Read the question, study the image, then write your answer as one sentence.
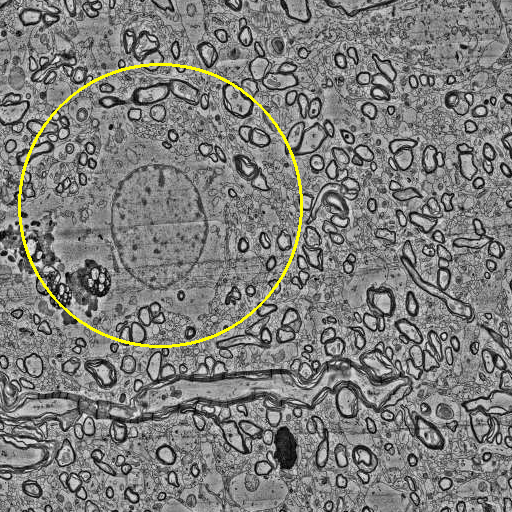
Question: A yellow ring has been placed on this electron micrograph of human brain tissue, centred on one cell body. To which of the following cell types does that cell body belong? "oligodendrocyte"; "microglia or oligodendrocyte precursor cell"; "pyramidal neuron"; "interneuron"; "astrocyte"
That cell body belongs to an astrocyte.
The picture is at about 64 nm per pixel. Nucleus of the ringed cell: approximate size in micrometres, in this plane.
The nucleus is approximately 8 micrometers long by 6 micrometers wide in this plane.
